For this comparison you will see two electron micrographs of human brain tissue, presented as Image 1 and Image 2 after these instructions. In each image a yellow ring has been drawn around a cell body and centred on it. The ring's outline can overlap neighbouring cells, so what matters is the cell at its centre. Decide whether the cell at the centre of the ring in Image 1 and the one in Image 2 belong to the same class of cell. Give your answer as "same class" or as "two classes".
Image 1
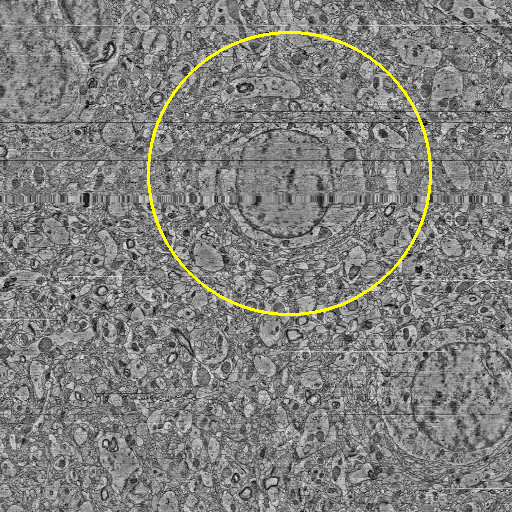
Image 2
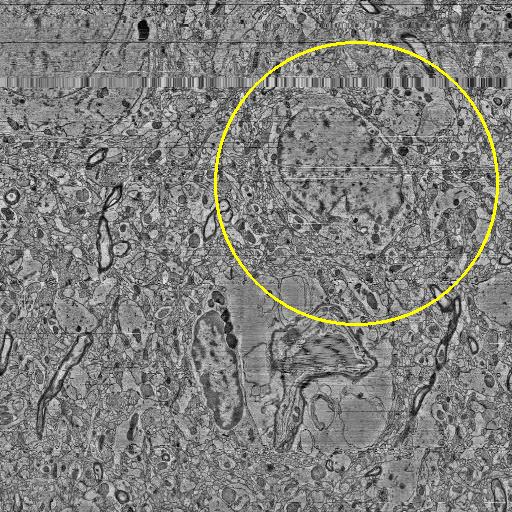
two classes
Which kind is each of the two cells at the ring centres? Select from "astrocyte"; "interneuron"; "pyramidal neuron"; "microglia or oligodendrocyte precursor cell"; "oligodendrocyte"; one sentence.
The cell at the centre of the ring is a pyramidal neuron in the first picture and an interneuron in the second.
